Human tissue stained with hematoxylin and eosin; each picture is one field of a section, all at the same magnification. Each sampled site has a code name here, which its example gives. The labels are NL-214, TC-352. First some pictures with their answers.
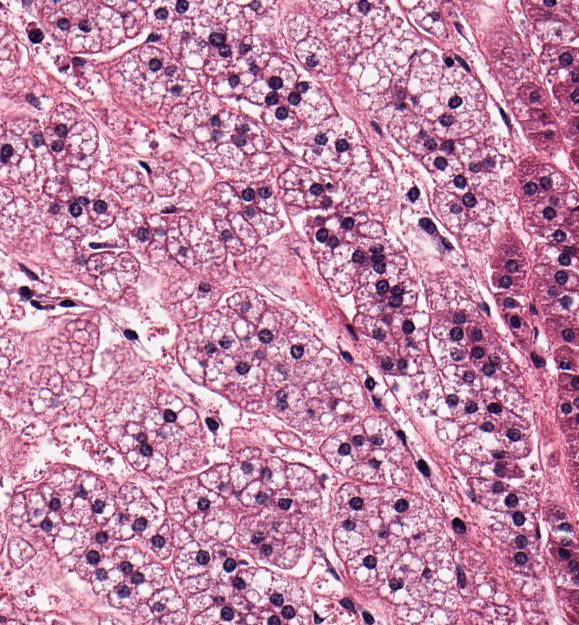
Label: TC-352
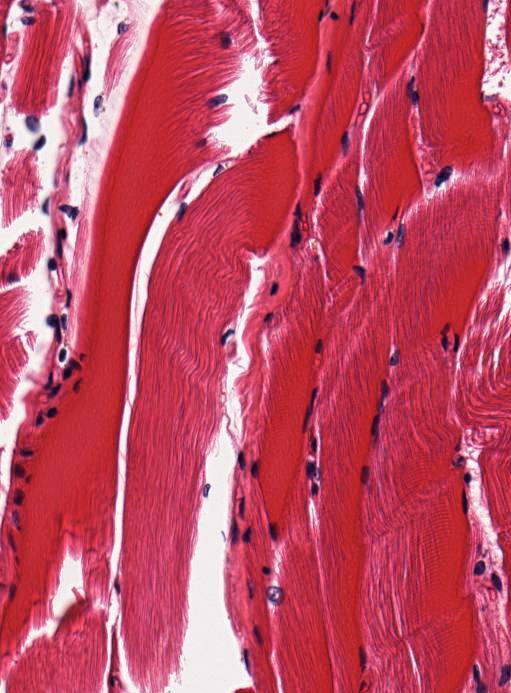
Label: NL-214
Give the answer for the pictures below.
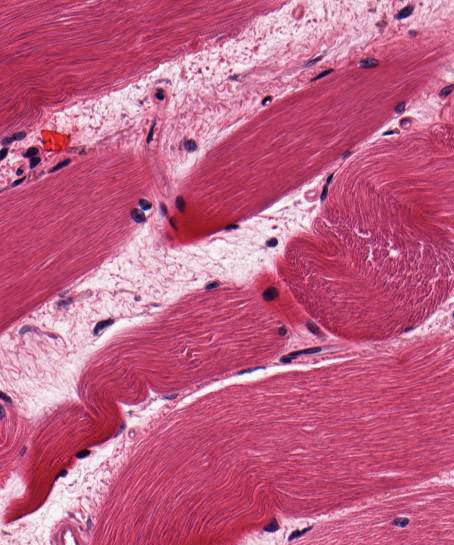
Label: NL-214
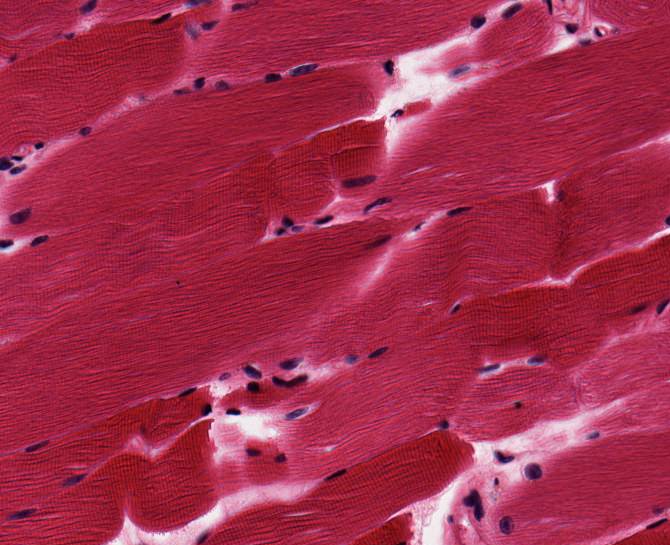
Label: NL-214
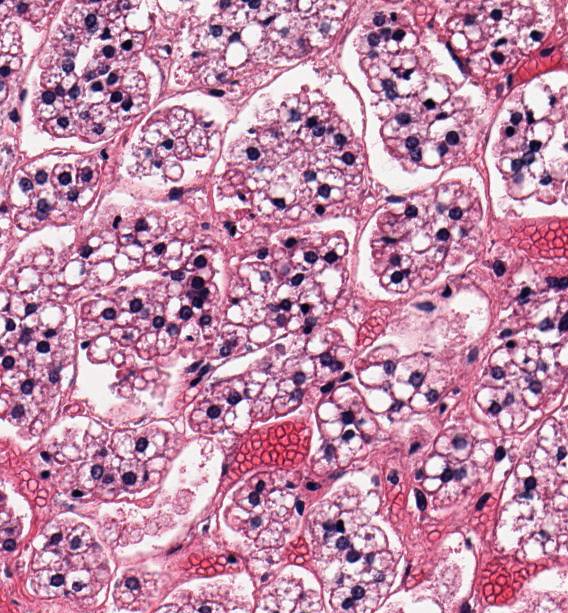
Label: TC-352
